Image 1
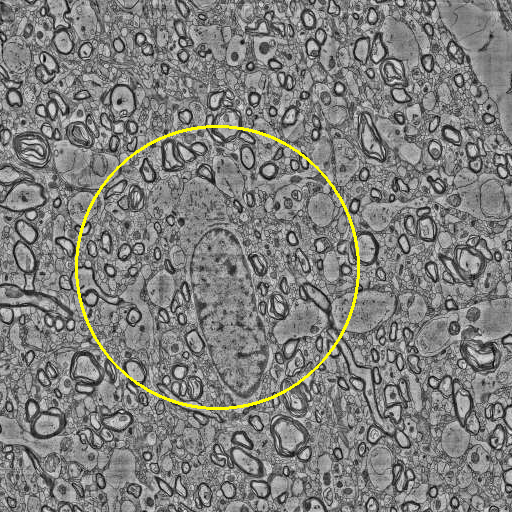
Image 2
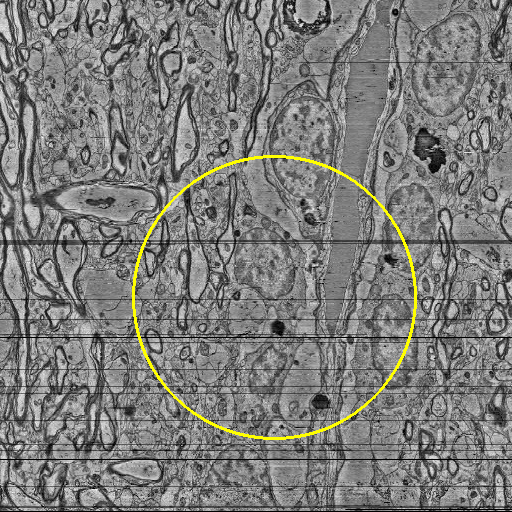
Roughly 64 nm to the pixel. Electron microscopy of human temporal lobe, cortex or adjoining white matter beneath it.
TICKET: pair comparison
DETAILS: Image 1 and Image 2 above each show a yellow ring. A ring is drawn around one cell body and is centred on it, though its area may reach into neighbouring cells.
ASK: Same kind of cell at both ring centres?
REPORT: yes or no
no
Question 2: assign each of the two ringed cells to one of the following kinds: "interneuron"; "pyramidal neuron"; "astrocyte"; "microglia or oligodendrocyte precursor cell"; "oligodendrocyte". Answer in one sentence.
The two cells are a microglial cell or oligodendrocyte precursor cell in the first picture and an oligodendrocyte in the second.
